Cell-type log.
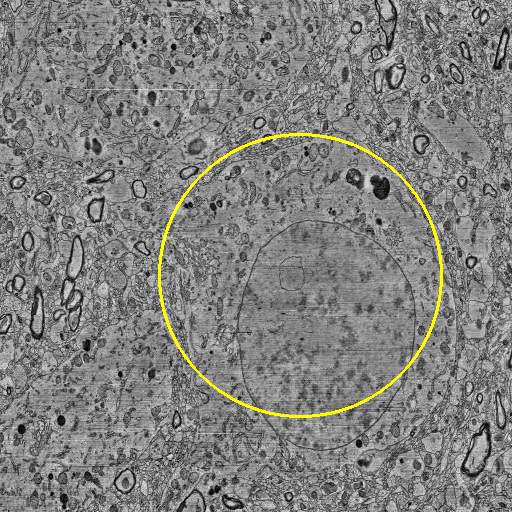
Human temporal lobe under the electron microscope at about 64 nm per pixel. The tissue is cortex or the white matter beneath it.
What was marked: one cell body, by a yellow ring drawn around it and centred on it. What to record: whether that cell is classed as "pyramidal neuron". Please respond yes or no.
Yes, the cell is classed that way.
